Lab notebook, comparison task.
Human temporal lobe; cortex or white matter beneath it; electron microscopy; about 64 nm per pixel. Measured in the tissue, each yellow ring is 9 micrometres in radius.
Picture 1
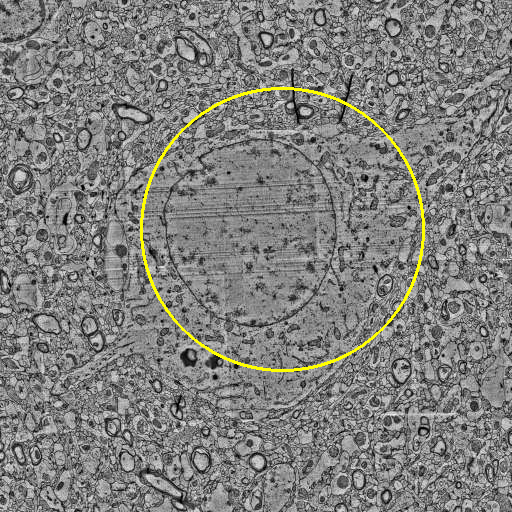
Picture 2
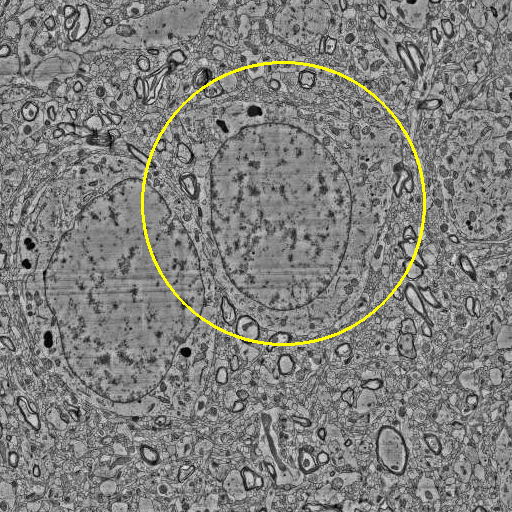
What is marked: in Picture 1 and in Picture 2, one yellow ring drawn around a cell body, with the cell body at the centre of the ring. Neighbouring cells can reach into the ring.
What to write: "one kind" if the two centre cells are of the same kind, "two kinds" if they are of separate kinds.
one kind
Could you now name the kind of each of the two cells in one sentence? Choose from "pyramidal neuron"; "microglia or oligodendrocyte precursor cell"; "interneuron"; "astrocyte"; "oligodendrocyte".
Both cells are the same kind, each one being a pyramidal neuron.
